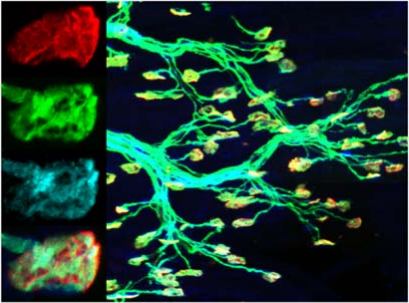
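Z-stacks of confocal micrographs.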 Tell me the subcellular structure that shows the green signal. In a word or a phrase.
Nerve terminals.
